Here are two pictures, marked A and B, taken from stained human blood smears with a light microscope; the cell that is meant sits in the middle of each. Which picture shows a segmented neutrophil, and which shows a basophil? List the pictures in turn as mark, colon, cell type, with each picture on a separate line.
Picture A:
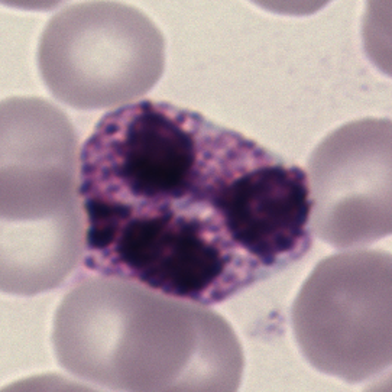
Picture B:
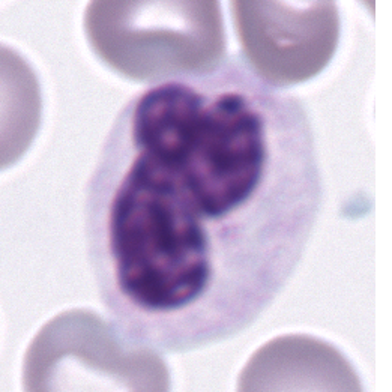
A: basophil
B: segmented neutrophil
